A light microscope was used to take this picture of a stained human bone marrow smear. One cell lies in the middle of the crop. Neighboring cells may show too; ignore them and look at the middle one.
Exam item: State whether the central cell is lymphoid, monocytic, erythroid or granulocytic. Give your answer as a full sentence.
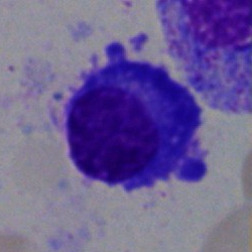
The centrally placed cell is assigned to the lymphoid lineage.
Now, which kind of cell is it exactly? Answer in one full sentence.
For this crop, the central cell is a plasma cell.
